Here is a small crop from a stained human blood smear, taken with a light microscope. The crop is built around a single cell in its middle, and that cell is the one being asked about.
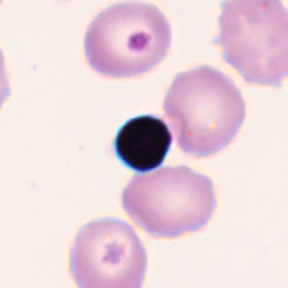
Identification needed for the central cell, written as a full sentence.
For this crop, the cell in the middle is a normoblast.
